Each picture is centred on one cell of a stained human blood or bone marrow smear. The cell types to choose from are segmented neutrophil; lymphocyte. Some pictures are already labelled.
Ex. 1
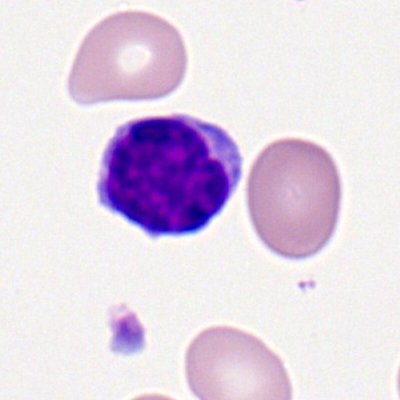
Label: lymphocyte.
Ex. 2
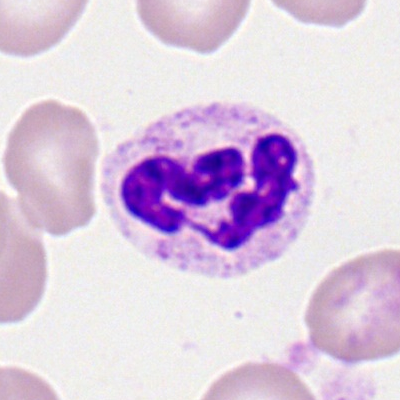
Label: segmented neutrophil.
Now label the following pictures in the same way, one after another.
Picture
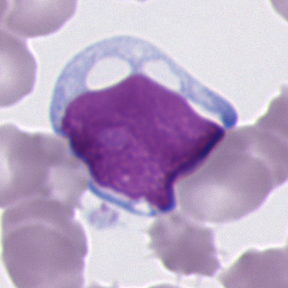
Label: lymphocyte.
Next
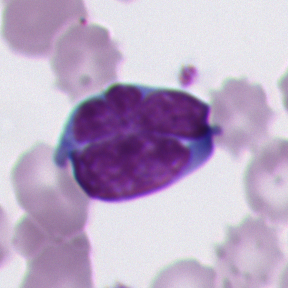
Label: lymphocyte.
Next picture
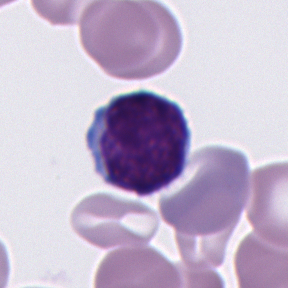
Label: lymphocyte.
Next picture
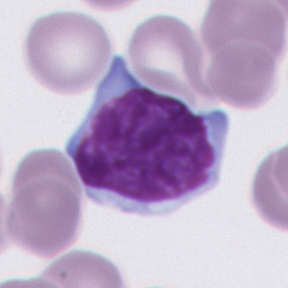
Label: lymphocyte.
